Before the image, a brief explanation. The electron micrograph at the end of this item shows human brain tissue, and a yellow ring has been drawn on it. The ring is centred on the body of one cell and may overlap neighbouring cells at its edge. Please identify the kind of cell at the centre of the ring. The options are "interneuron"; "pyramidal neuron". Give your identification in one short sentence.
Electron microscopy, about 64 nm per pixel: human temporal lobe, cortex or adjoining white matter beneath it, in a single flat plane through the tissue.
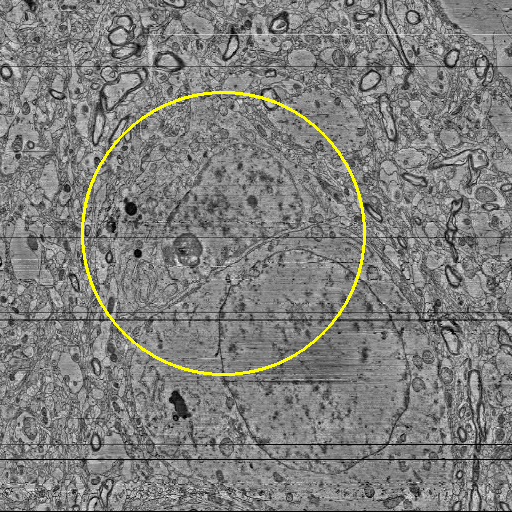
The ring has been placed around an interneuron.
